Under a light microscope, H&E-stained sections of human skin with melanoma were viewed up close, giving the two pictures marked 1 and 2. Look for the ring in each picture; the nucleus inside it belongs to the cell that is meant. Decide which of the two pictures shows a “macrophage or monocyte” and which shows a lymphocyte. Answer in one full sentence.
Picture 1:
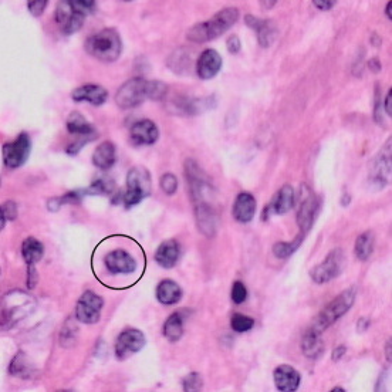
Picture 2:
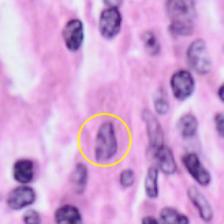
Picture 2 shows a “macrophage or monocyte”, while picture 1 shows a lymphocyte.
